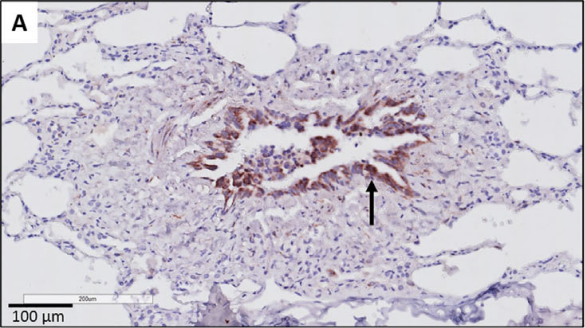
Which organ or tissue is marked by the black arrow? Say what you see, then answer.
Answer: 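Respiratory epithelium. The arrow points at the cell layer lining a narrow slit-like lumen. These lining cells are strongly stained brown.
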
